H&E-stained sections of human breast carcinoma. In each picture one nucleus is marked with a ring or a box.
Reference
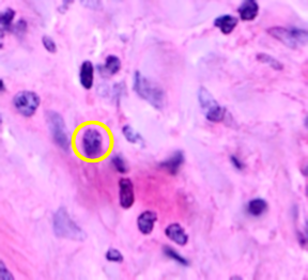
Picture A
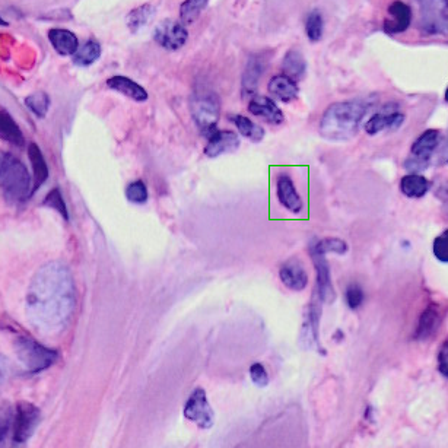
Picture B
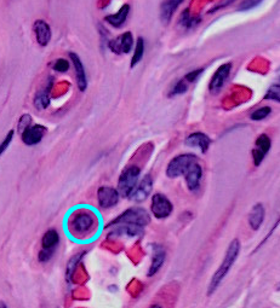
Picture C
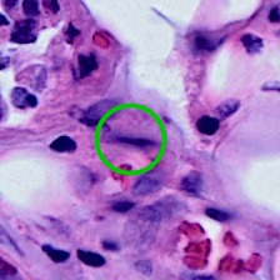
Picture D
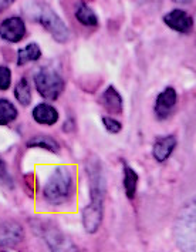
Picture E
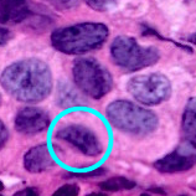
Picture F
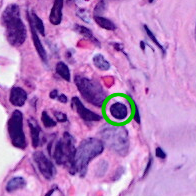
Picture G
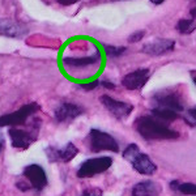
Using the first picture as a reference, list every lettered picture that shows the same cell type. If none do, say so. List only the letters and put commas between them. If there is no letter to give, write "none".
A, B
